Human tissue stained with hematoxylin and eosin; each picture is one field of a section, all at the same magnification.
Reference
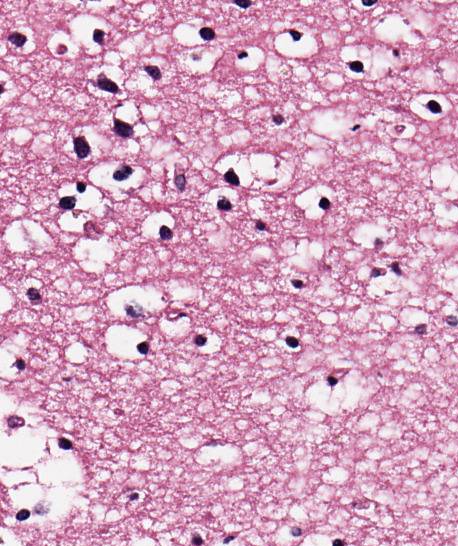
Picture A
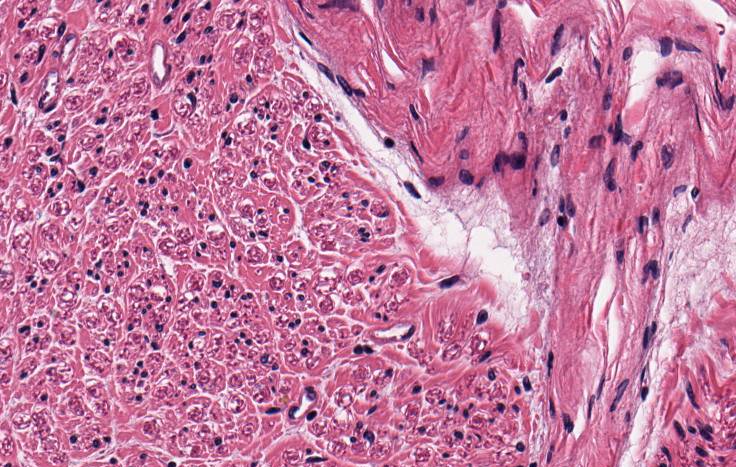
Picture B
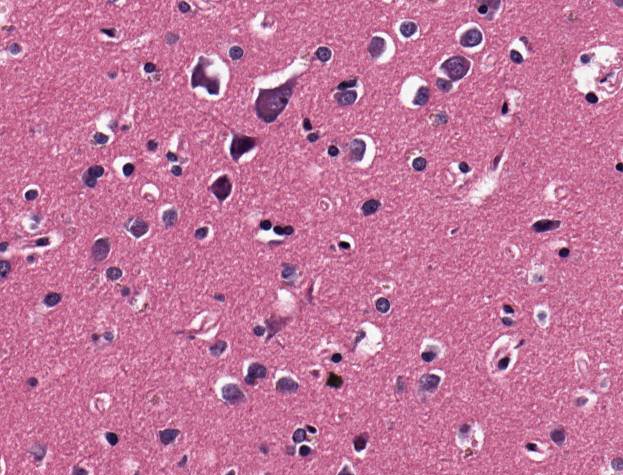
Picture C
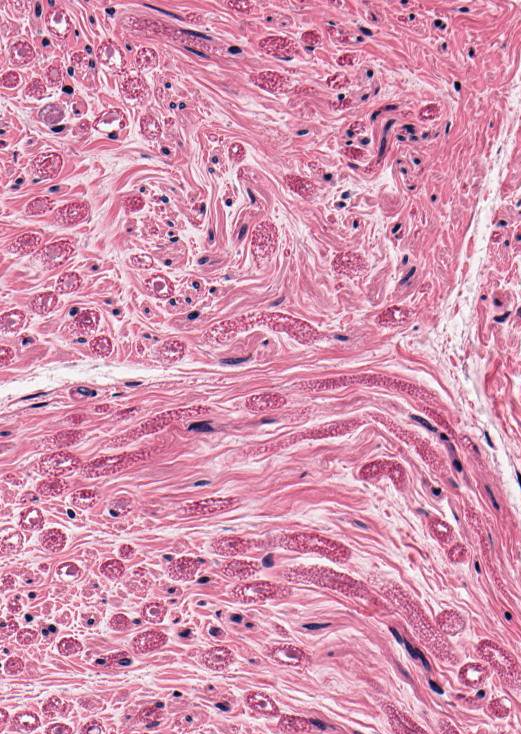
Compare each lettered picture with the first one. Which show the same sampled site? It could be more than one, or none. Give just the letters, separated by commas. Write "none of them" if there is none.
B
